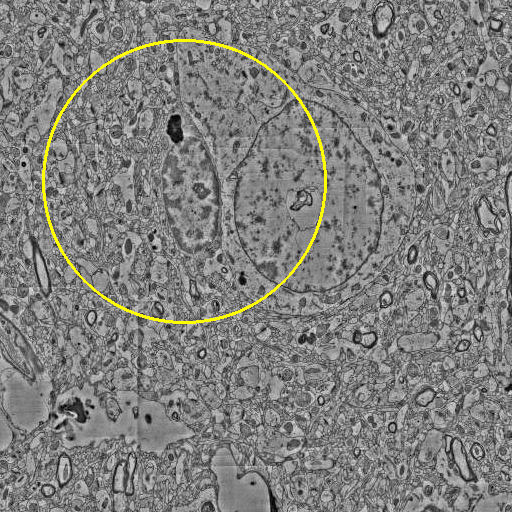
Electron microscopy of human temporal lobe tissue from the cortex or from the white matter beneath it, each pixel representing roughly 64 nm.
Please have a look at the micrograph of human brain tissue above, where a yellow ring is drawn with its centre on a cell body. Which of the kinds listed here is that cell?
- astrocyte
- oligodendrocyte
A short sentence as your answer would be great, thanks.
At the centre of the ring sits an oligodendrocyte.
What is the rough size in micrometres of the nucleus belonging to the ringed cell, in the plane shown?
In this plane the nucleus is roughly 7 by 4 micrometres, clearly longer than it is wide.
